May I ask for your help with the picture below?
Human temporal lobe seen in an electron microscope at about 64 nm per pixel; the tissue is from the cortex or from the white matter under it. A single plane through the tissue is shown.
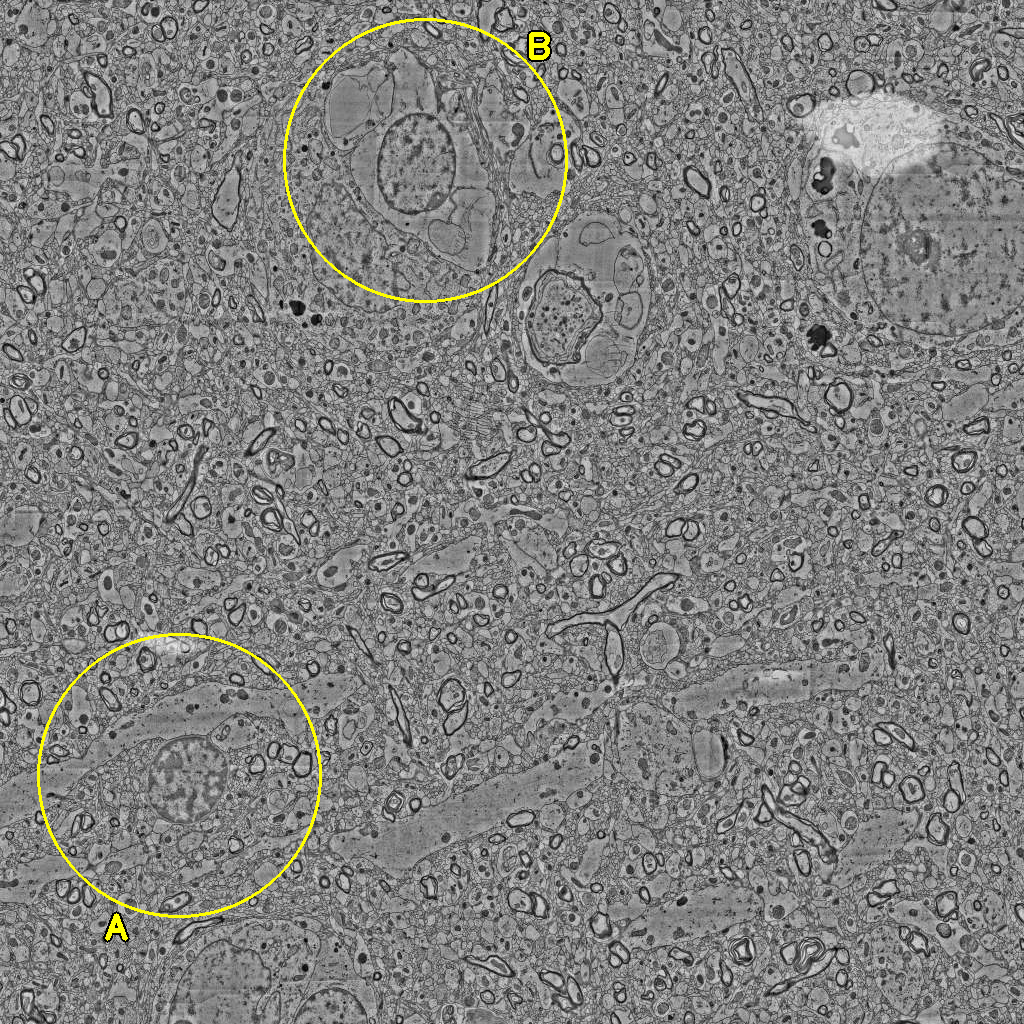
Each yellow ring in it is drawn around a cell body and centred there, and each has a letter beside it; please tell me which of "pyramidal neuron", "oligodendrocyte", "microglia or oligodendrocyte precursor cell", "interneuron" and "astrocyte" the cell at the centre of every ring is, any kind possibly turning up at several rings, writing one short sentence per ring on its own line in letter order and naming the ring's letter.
Ring A is drawn around the cell body of an oligodendrocyte.
Ring B is drawn around the cell body of an astrocyte.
